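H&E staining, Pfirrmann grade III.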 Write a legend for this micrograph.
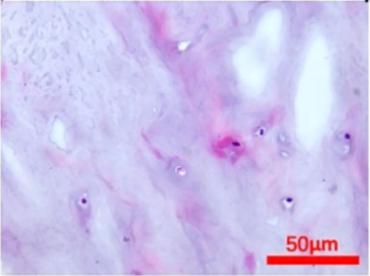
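Intervertebral disc matrix at higher magnification, stained pale lilac to light pink, with few cells. Small cells with dark round nuclei lie singly within clear rounded lacunae scattered through the matrix. Elongated and oval clear spaces of varying size run through the tissue, giving it a loose, fissured appearance. A faint streaky, fibrillar texture is visible in places, and one small focus of stronger pink-purple staining surrounds a cell near the centre. The matrix is largely homogeneous and pale, with no dense layered bands and no cell clusters.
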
